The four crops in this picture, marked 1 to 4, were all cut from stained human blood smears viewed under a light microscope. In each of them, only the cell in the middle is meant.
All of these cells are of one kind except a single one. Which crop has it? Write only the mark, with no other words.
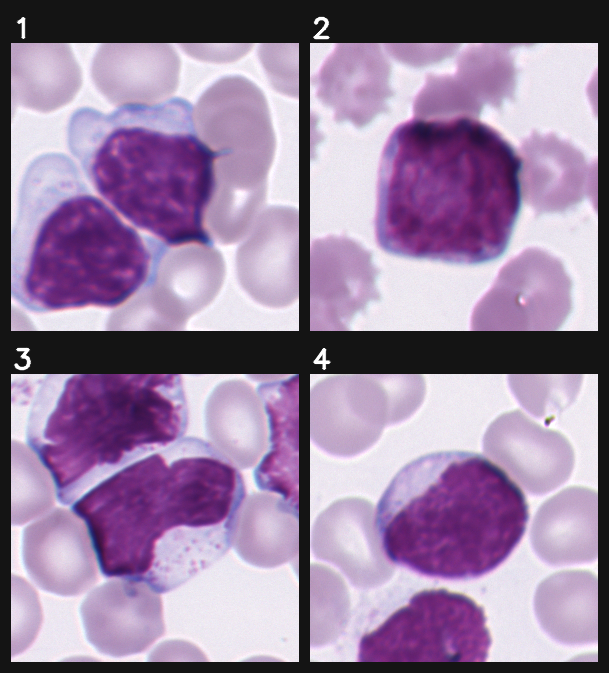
2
